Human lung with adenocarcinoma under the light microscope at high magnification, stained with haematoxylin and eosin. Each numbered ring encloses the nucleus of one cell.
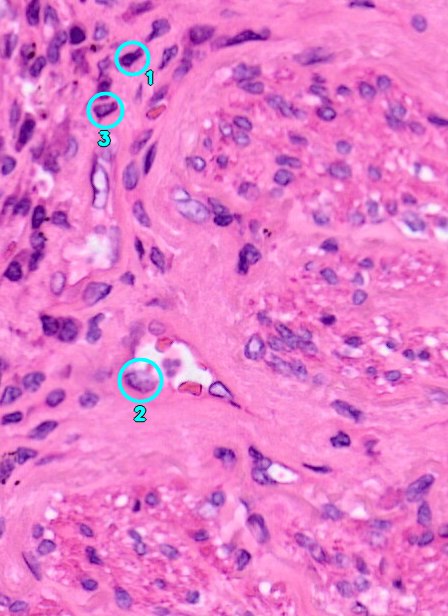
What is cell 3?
plasma cell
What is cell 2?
endothelial cell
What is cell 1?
plasma cell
